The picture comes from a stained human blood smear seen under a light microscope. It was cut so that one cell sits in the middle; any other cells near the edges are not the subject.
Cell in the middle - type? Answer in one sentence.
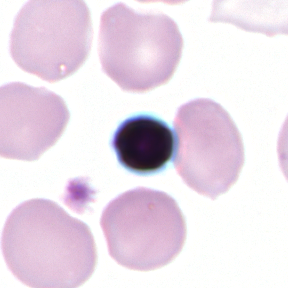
In short, the cell at the center is a normoblast.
